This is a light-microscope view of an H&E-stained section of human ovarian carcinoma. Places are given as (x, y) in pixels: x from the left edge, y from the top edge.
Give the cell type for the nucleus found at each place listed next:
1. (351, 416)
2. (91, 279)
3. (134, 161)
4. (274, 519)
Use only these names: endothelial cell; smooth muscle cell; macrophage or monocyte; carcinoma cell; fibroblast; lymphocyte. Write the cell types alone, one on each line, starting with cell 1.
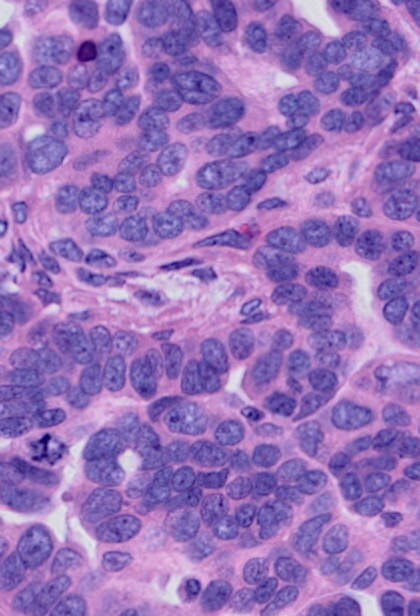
carcinoma cell
fibroblast
carcinoma cell
carcinoma cell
